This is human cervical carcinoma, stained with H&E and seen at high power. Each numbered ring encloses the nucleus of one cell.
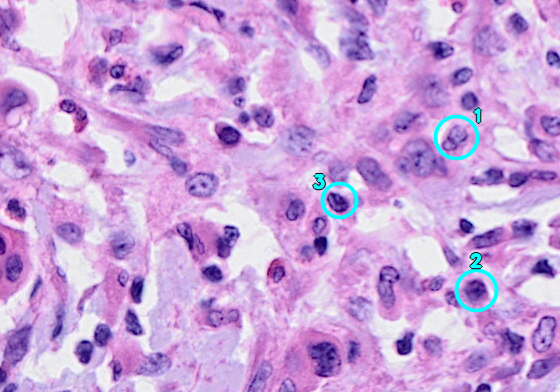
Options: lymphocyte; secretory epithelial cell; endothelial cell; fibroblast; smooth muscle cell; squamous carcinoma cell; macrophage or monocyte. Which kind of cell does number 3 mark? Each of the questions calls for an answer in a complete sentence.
The cell tagged with 3 in this tissue section is a lymphocyte.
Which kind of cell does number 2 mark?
In this section, the cell numbered 2 is a lymphocyte.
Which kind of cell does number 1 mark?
The cell assigned the number 1 is an endothelial cell.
